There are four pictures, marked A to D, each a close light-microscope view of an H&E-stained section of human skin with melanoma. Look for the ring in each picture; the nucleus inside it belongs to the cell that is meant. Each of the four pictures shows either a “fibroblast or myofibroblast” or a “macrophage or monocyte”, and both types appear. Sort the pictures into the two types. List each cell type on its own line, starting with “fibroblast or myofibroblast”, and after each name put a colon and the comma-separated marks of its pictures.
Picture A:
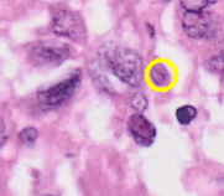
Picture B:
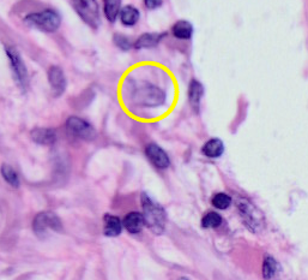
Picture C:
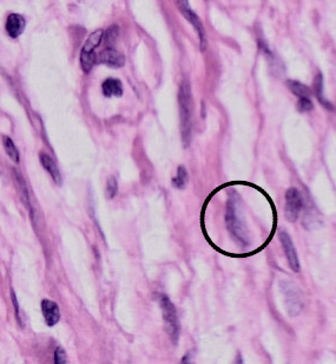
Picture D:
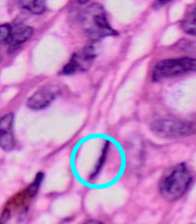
fibroblast or myofibroblast: B, C, D
macrophage or monocyte: A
